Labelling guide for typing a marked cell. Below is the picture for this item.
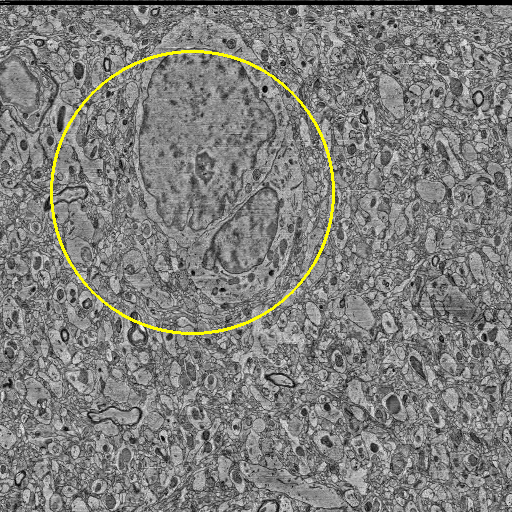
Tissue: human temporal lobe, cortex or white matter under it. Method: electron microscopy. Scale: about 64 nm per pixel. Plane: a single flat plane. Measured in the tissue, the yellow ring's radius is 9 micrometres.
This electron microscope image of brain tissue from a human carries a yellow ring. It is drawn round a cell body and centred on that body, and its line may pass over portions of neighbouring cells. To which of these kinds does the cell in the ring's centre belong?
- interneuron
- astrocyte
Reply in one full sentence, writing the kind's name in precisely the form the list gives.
Here we have an interneuron at the centre of the yellow ring in the picture.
